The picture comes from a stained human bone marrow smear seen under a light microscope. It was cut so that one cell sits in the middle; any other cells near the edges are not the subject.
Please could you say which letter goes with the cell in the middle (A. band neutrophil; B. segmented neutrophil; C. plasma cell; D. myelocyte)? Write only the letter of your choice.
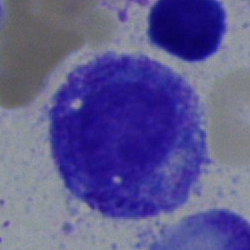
D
